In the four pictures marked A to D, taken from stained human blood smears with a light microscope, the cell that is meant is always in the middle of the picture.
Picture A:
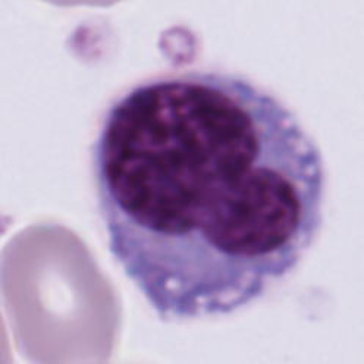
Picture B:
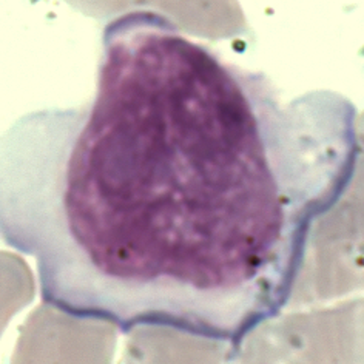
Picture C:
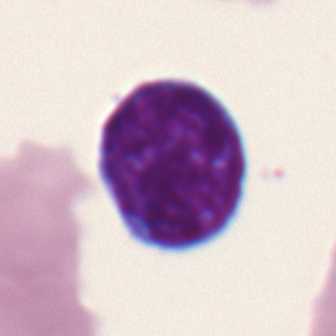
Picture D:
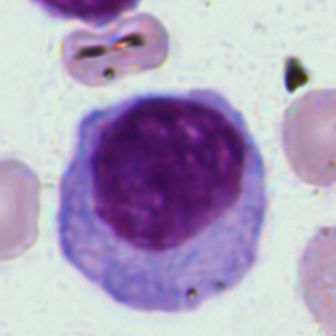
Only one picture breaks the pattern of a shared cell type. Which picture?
C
